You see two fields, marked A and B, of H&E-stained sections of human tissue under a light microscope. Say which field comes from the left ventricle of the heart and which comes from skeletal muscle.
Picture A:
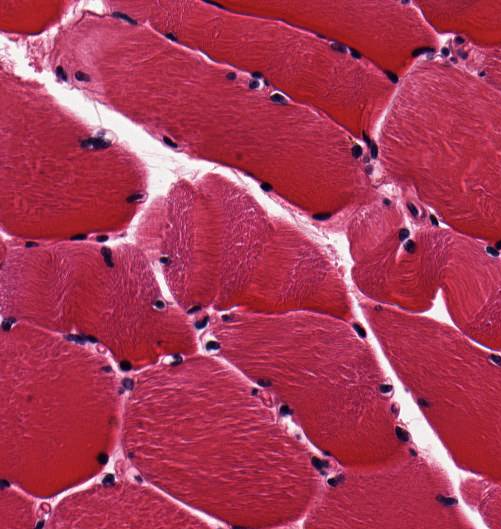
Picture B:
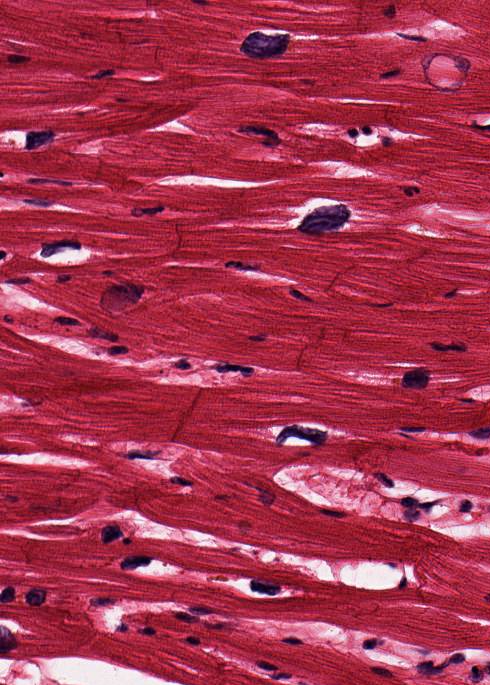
A: skeletal muscle
B: left ventricle of the heart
